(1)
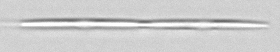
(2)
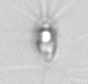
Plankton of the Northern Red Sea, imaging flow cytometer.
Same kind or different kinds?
Different: the first is Pseudo-nitzschia, the second Chrysochromulina parkeae.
